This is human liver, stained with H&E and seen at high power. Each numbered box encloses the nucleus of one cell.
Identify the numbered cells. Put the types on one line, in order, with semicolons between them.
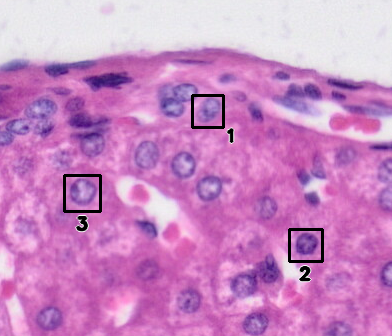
cholangiocyte; hepatocyte; hepatocyte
